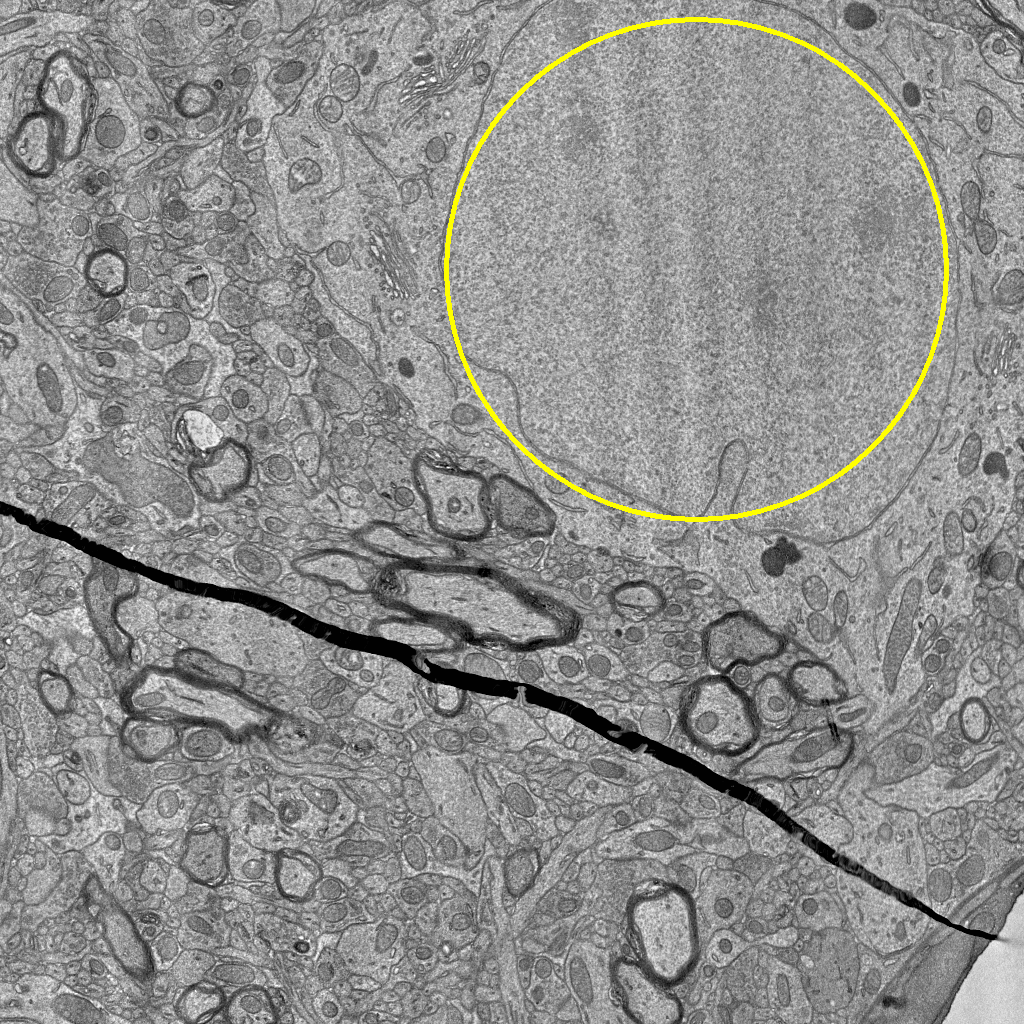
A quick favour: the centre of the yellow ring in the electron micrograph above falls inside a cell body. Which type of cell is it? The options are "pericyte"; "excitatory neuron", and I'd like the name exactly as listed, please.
excitatory neuron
